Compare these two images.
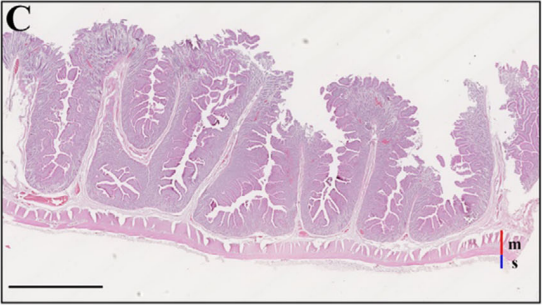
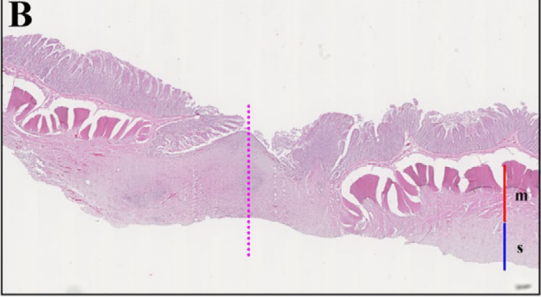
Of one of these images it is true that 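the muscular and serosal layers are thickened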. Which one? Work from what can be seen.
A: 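First image: a thin continuous pink muscular and serosal band runs beneath tall mucosal folds. Second image: the outer wall layers form a broad thick band, and the mucosal folds are flattened.
Hence: the second image.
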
